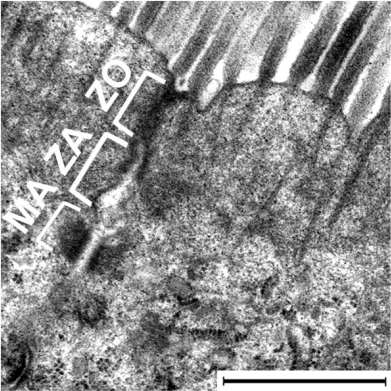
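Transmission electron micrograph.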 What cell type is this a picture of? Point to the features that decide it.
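Densely packed regular microvilli project from the cell apex. On this evidence: enterocyte.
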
